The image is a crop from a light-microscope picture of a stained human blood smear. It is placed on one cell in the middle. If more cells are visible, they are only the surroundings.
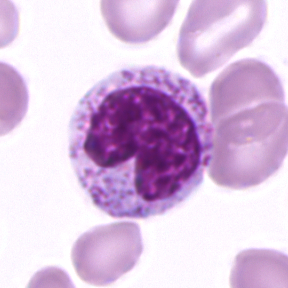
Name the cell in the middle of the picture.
band neutrophil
